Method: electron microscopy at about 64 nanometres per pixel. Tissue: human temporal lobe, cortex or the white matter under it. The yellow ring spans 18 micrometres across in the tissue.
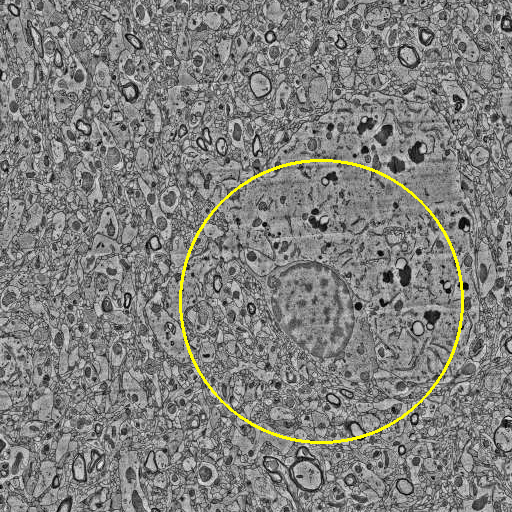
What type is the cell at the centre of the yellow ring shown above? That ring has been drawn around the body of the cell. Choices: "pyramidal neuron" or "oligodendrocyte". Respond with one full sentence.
My answer is that an oligodendrocyte lies at the centre of the yellow ring above.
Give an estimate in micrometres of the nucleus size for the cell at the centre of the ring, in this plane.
The nucleus works out at approximately 6 by 5 micrometres in this plane.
